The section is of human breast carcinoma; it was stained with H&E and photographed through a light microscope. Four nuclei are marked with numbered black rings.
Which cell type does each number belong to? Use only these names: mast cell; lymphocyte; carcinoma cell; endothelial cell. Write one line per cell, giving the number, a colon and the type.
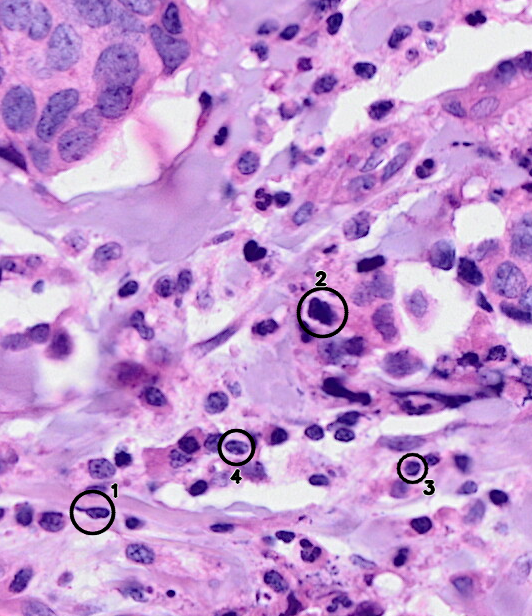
1: lymphocyte
2: carcinoma cell
3: lymphocyte
4: lymphocyte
